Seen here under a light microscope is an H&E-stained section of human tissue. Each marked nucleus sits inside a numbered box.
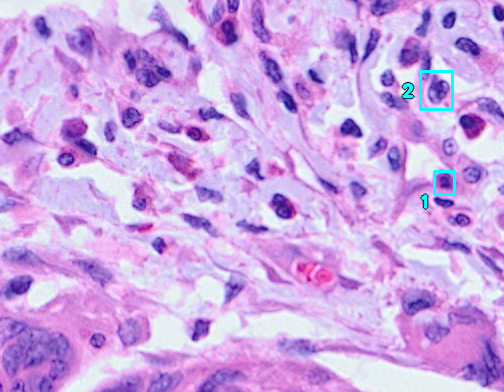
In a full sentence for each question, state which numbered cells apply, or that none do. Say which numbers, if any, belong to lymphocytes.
Cell 2 is a lymphocyte, which is true of none of the other numbered cells.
